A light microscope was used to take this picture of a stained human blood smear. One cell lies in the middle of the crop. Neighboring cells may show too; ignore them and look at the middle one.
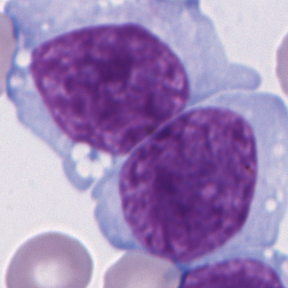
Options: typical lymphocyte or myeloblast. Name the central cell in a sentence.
In this smear crop, the middle cell is a myeloblast.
